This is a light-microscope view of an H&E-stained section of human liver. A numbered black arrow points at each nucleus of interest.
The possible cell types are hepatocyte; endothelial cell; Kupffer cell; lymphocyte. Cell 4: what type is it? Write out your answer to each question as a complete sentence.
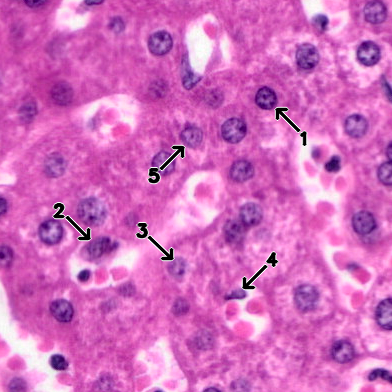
Cell 4, as marked in the section, is an endothelial cell.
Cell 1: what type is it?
To a hepatocyte belongs the nucleus marked 1.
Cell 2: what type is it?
The label 2 in this section denotes a Kupffer cell.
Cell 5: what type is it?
The cell bearing label 5 corresponds to a hepatocyte.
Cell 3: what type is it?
The label 3 in this section denotes a hepatocyte.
